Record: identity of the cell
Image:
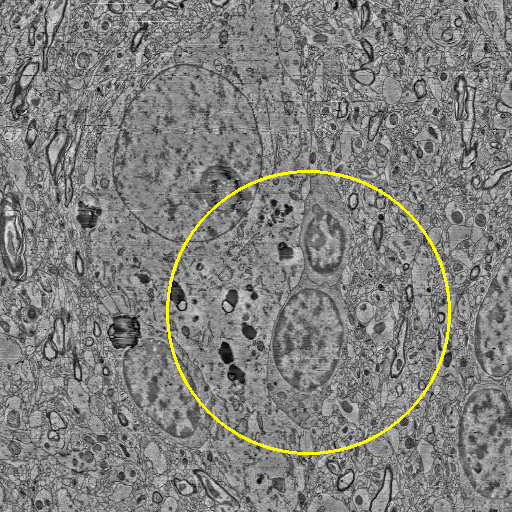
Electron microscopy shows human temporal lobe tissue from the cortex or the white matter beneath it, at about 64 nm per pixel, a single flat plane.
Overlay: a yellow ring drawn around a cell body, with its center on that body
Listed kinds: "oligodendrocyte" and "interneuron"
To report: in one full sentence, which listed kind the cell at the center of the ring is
In the image, the cell body at the ring's center belongs to an oligodendrocyte.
